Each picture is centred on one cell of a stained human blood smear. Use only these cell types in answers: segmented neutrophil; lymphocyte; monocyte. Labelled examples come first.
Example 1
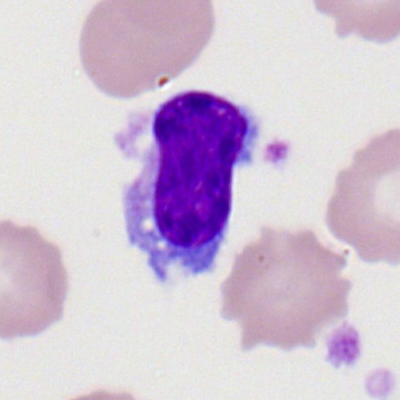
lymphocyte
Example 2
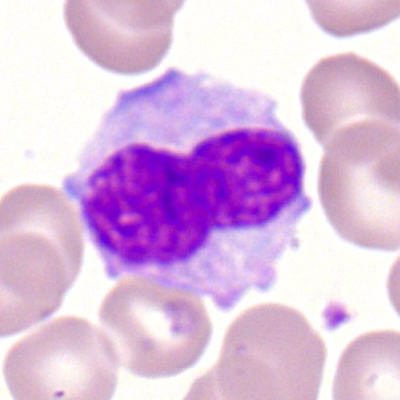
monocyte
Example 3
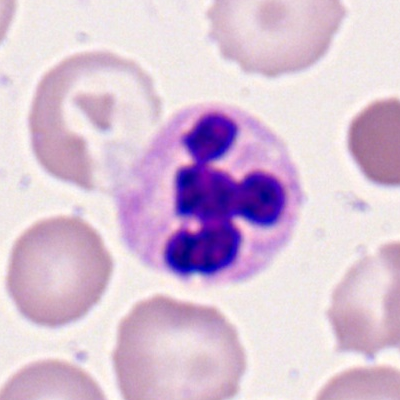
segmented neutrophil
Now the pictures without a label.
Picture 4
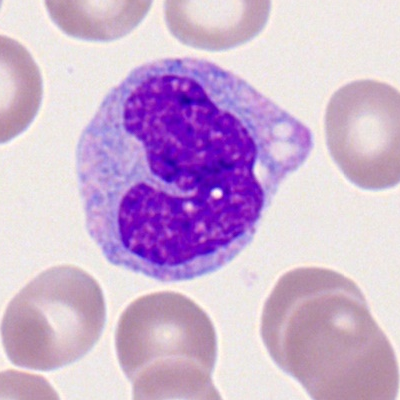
monocyte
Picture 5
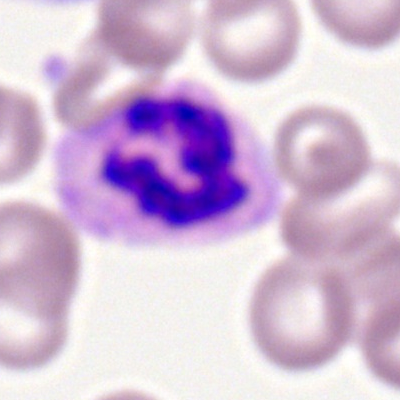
segmented neutrophil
